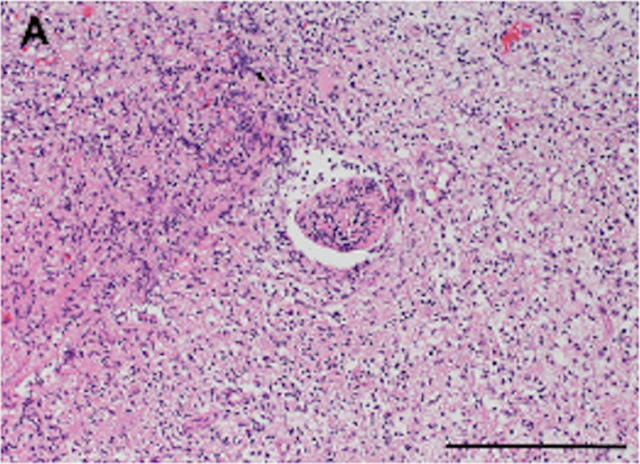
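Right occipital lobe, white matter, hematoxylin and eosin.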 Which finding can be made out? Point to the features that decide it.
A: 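A dense band of small round dark nuclei crosses the pale tissue on the left.
Severe lymphocytic infiltration with vasculitis.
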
